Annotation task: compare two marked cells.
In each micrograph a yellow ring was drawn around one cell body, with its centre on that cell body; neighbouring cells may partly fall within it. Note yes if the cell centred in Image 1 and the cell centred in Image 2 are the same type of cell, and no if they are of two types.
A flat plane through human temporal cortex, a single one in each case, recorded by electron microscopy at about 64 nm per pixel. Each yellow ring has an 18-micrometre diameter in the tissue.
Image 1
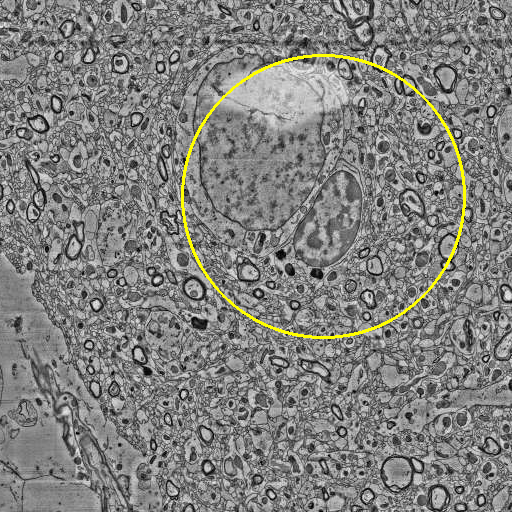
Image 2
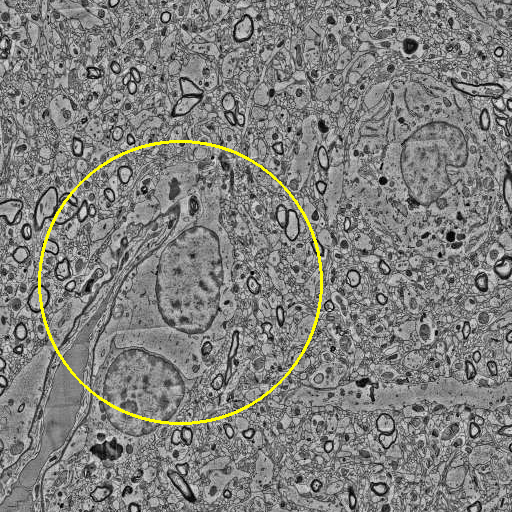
yes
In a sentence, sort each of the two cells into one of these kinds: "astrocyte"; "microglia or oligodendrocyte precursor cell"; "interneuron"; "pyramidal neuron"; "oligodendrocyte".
Both rings mark a microglial cell or oligodendrocyte precursor cell, one in each picture.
